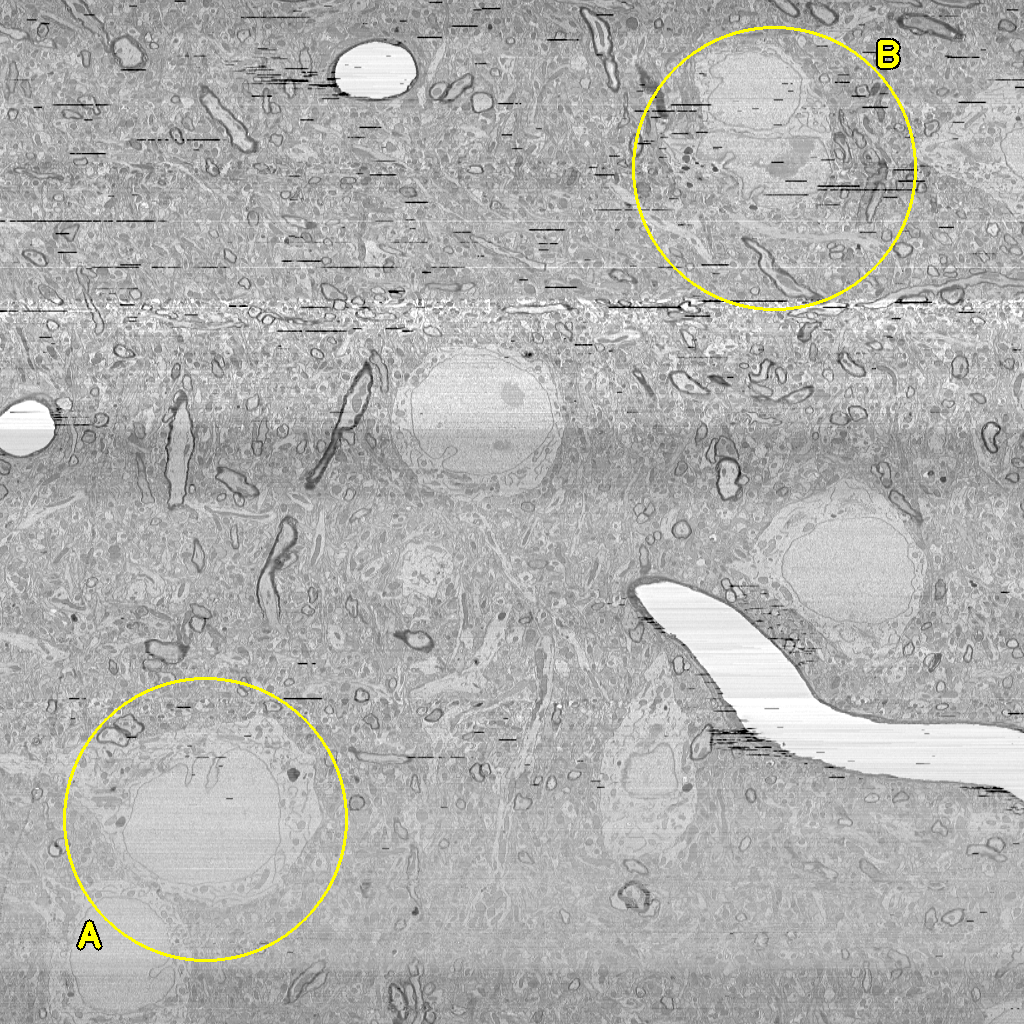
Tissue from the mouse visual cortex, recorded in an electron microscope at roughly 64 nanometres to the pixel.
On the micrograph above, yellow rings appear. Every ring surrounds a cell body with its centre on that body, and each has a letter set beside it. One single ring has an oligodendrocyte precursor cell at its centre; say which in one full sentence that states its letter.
The answer is ring B, whose centre lies on the cell asked for.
